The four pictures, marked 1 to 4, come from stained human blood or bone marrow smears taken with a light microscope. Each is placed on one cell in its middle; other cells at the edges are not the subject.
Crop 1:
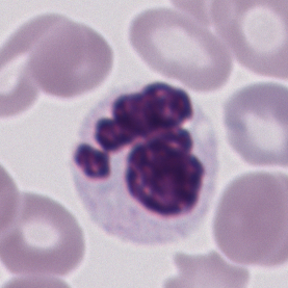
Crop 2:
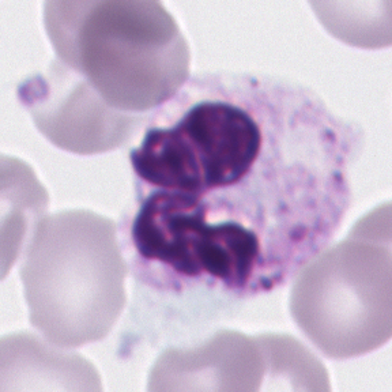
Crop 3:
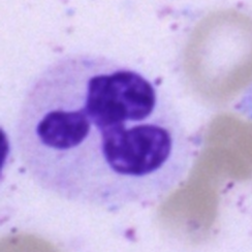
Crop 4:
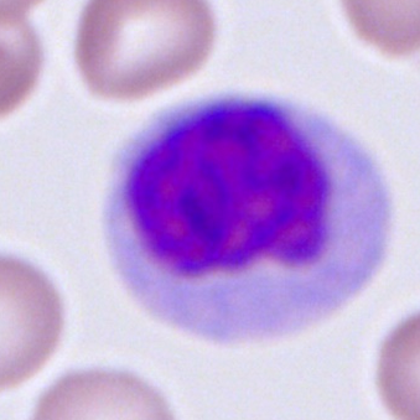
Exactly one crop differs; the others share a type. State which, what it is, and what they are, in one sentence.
Crop 4 is the one that is a monocyte, and the other crops all show segmented neutrophils.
